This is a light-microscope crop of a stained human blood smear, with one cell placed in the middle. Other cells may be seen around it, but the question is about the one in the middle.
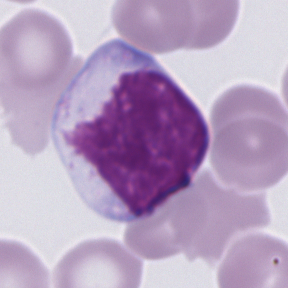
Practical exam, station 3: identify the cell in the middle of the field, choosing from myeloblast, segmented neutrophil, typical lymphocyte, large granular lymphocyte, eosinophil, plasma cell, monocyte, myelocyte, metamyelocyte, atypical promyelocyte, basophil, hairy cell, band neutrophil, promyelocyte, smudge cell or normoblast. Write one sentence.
The center cell of this crop is a large granular lymphocyte.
